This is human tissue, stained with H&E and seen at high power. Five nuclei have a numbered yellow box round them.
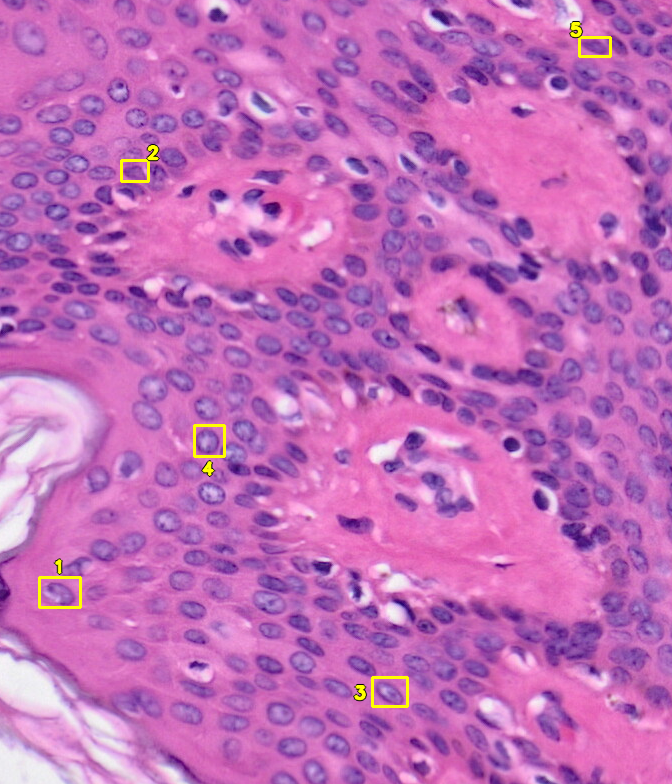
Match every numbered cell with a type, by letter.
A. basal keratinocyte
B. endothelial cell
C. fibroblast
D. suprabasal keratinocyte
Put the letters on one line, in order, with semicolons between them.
D; A; D; D; A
